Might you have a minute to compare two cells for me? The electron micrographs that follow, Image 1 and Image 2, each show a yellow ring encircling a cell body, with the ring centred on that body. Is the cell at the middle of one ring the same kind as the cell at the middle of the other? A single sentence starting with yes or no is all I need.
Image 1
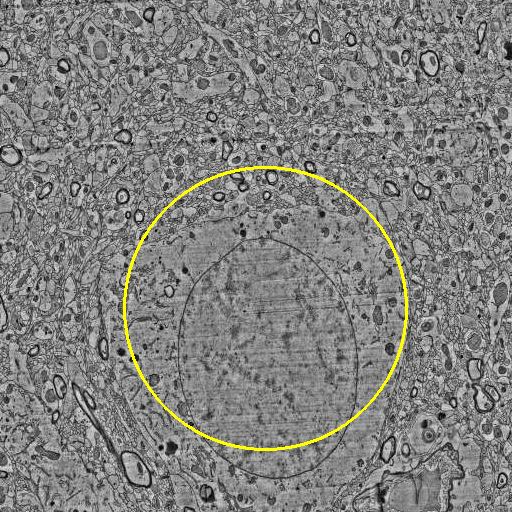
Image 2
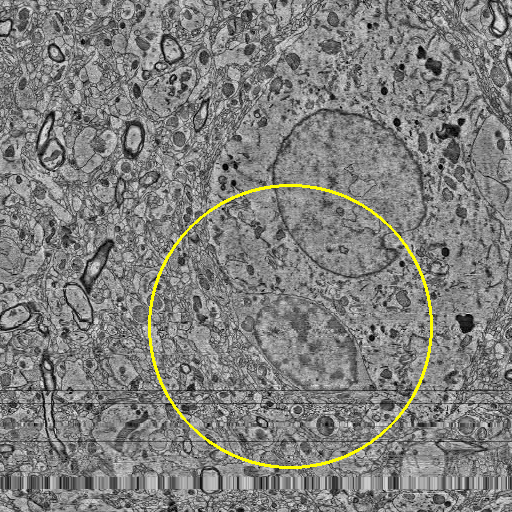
No, the cells in the middle of the two rings are of two separate kinds.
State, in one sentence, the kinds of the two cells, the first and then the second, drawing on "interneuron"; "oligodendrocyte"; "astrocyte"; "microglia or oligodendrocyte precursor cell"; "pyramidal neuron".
The ring in the second picture is centred on an oligodendrocyte, the ring in the first on a pyramidal neuron.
